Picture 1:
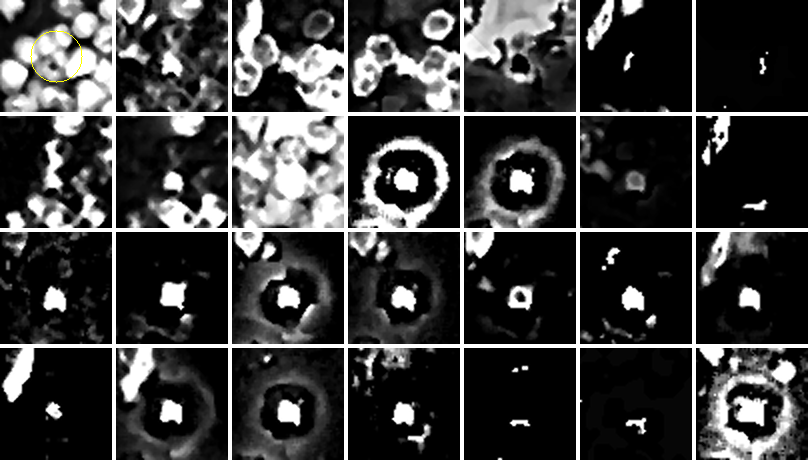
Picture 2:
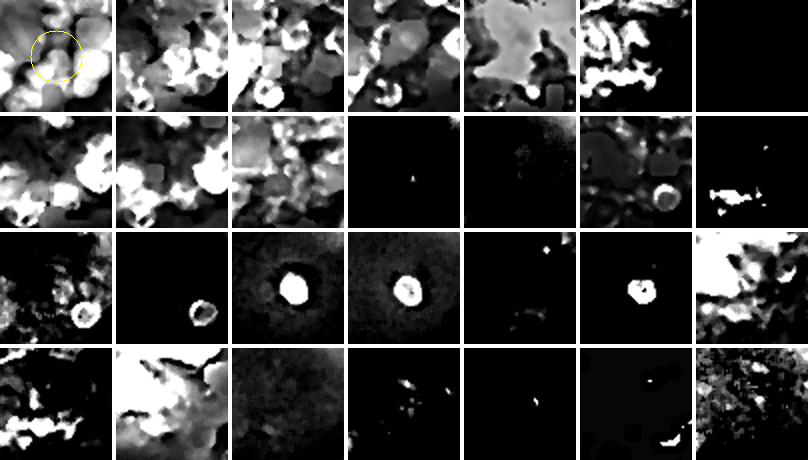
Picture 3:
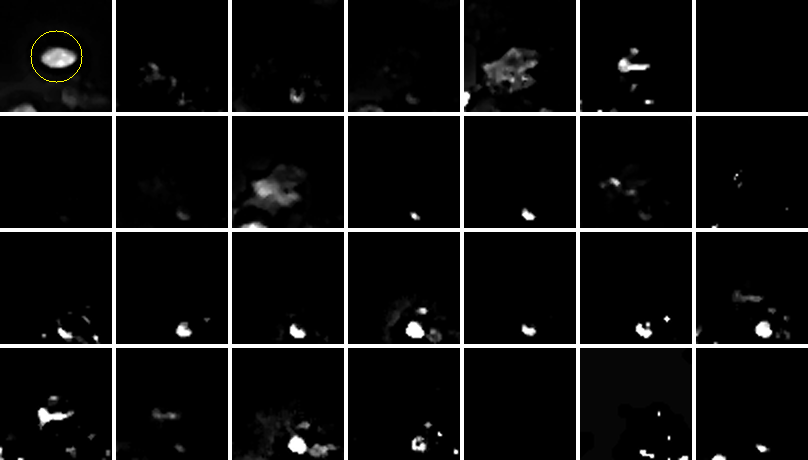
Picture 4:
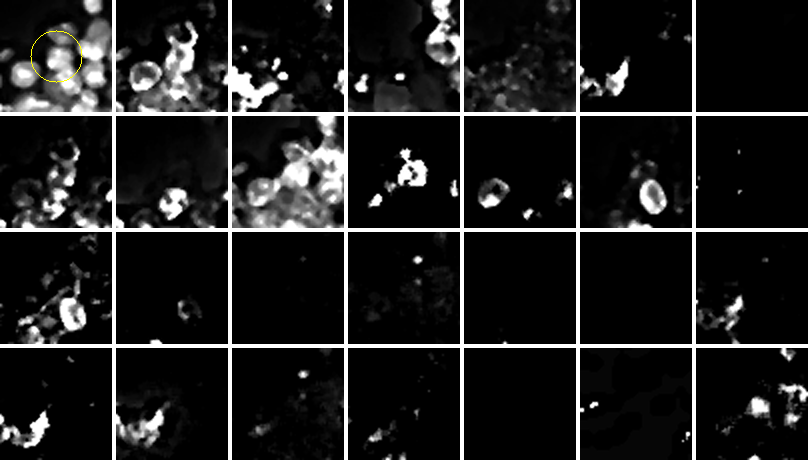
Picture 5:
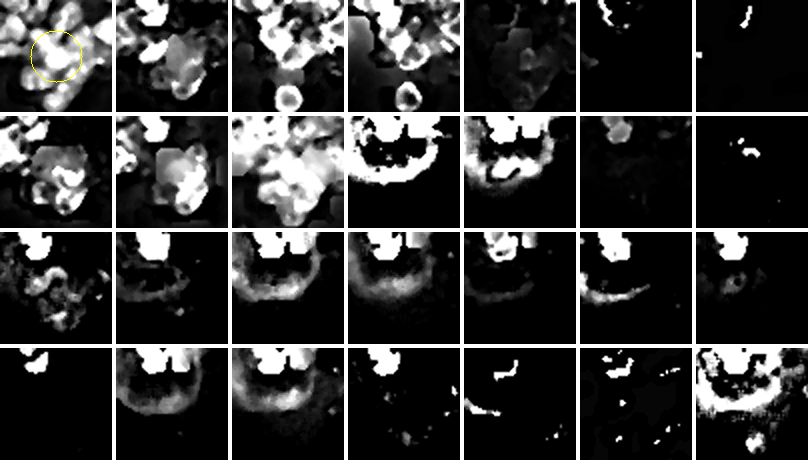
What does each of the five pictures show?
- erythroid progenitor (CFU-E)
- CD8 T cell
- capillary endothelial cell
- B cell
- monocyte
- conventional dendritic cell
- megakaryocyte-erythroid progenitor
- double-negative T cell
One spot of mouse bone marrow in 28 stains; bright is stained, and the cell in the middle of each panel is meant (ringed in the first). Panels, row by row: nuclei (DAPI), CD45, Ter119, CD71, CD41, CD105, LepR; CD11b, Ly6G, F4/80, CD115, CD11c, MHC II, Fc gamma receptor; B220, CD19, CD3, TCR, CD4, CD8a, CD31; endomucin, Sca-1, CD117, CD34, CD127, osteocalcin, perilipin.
Picture 1: B cell
Picture 2: CD8 T cell
Picture 3: capillary endothelial cell
Picture 4: monocyte
Picture 5: double-negative T cell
